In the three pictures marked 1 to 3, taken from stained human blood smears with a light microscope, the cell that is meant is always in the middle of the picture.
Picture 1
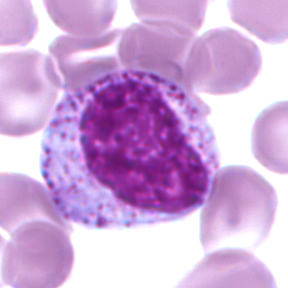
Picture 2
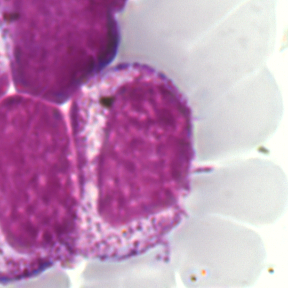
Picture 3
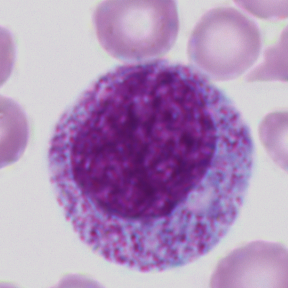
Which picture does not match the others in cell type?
3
